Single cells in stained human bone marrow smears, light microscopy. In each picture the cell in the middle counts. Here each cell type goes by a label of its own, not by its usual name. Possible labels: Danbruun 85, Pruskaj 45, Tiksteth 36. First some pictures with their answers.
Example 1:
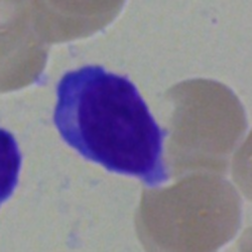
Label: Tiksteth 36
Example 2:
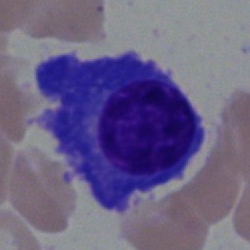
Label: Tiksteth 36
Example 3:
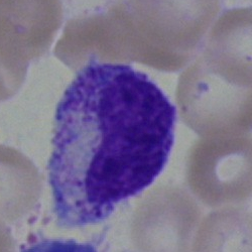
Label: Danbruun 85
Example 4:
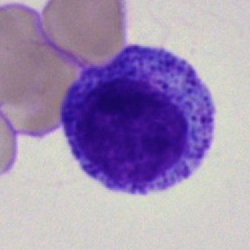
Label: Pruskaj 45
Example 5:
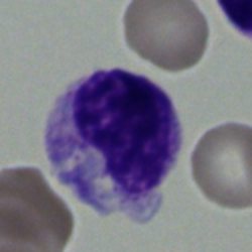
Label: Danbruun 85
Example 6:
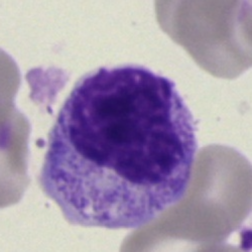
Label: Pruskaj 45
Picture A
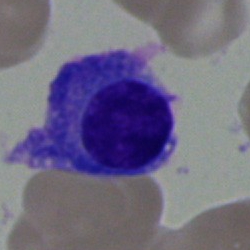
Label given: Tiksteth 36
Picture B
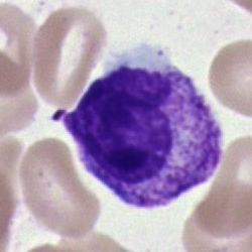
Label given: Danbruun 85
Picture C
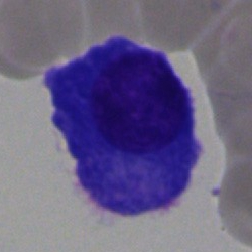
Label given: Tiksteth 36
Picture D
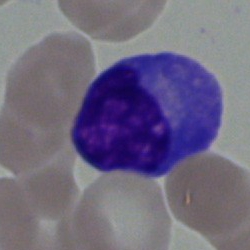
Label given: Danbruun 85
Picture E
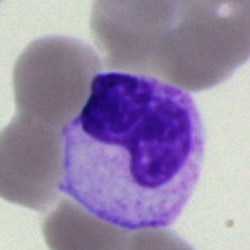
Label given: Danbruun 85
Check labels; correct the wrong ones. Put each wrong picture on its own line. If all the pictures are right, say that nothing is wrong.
D: not Danbruun 85 but Tiksteth 36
